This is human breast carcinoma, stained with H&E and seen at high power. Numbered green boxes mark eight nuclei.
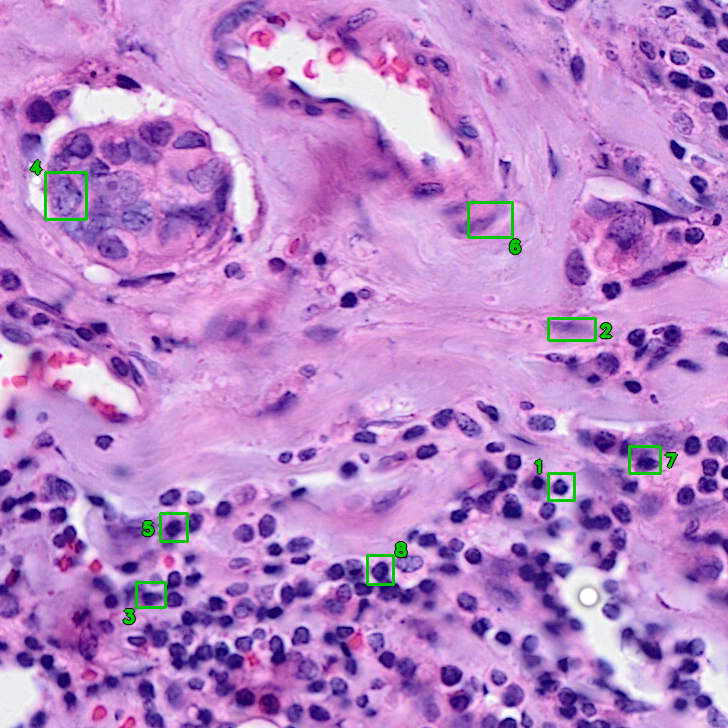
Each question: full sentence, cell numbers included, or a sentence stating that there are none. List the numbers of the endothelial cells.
Only the cell marked 6 is an endothelial cell.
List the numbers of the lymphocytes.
The cells 1, 3, 5, 7 and 8 in this section are lymphocytes.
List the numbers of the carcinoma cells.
Of all the cells bearing numbers, cell 4 is the only one that is a carcinoma cell.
